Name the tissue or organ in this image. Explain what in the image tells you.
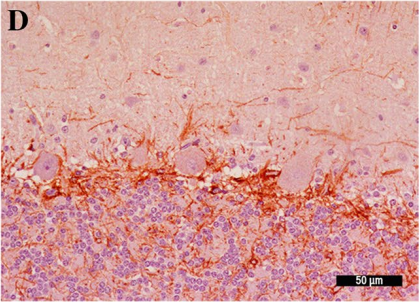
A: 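A dense layer of small, closely packed round nuclei fills the lower part. A row of large cell bodies lies at the border of this layer. A paler, cell-sparse layer with radial stained fibres lies above. On this evidence: cerebellar cortex.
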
